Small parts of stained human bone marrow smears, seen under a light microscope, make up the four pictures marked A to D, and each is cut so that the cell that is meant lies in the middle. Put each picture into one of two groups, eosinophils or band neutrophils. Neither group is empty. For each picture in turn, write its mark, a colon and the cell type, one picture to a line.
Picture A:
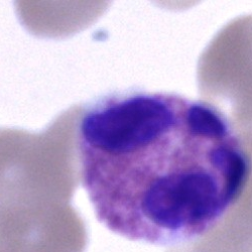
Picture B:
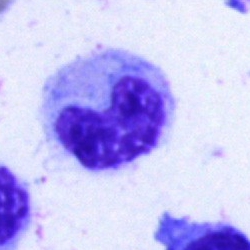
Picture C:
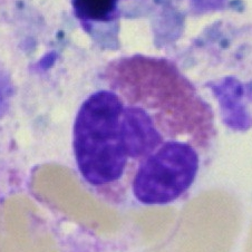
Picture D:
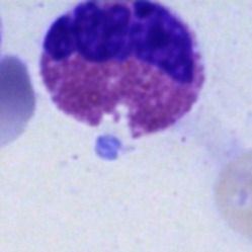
A: eosinophil
B: band neutrophil
C: eosinophil
D: eosinophil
